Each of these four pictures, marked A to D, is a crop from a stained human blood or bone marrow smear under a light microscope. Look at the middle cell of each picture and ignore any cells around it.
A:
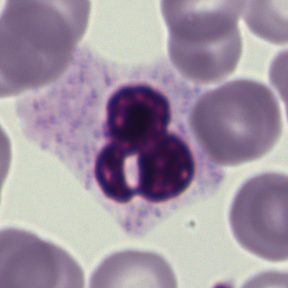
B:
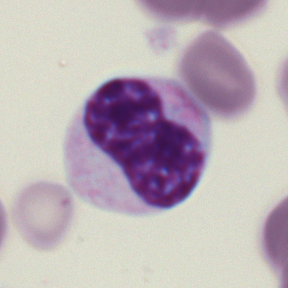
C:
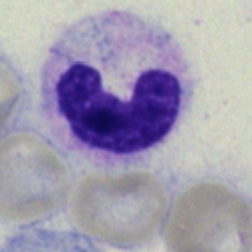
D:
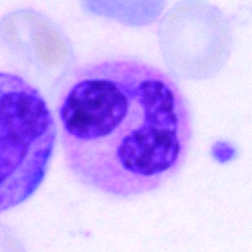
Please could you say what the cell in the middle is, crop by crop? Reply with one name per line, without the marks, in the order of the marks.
segmented neutrophil
segmented neutrophil
band neutrophil
segmented neutrophil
